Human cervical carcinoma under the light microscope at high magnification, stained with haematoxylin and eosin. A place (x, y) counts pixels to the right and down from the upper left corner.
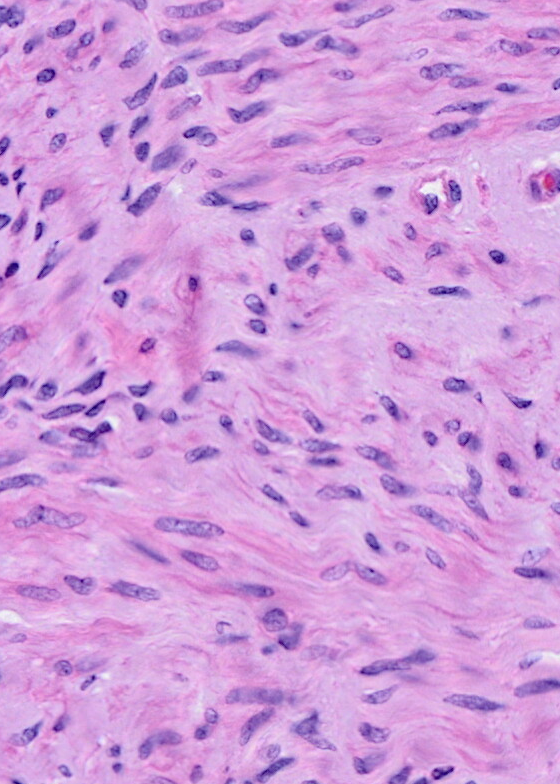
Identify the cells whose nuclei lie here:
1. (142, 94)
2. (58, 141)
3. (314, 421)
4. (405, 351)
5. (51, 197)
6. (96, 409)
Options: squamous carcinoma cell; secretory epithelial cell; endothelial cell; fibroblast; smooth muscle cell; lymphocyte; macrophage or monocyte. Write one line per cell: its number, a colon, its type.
1: fibroblast
2: smooth muscle cell
3: smooth muscle cell
4: smooth muscle cell
5: smooth muscle cell
6: fibroblast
